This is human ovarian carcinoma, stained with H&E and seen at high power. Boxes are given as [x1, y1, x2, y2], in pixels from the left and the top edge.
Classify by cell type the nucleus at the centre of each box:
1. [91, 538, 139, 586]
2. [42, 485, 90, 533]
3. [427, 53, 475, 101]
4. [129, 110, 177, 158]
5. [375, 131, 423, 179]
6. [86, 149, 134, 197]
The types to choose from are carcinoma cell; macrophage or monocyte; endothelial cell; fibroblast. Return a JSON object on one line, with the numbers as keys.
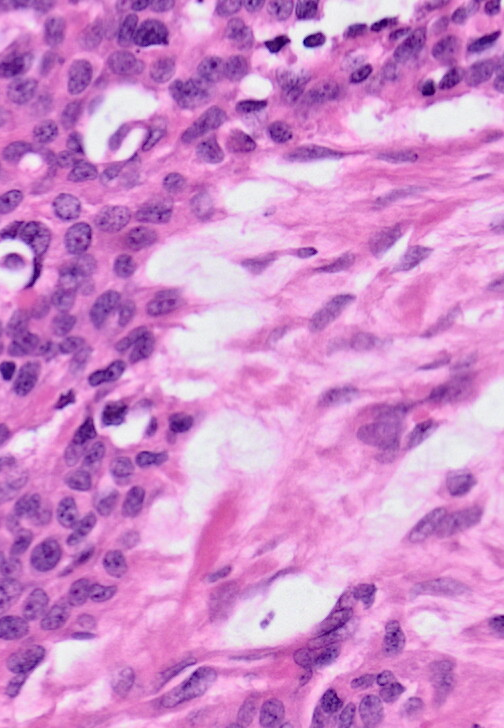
{"1": "macrophage or monocyte", "2": "macrophage or monocyte", "3": "carcinoma cell", "4": "endothelial cell", "5": "fibroblast", "6": "carcinoma cell"}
